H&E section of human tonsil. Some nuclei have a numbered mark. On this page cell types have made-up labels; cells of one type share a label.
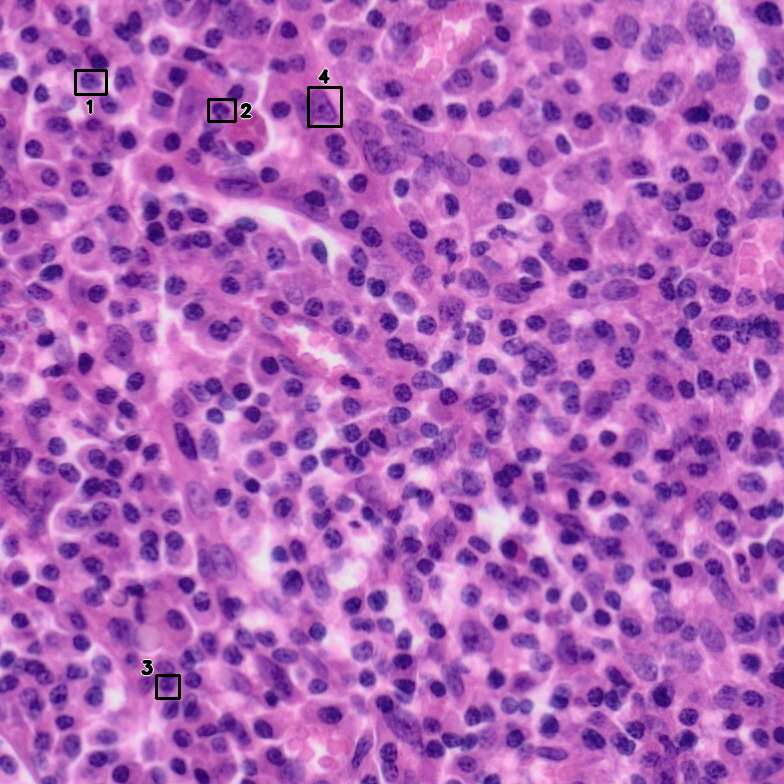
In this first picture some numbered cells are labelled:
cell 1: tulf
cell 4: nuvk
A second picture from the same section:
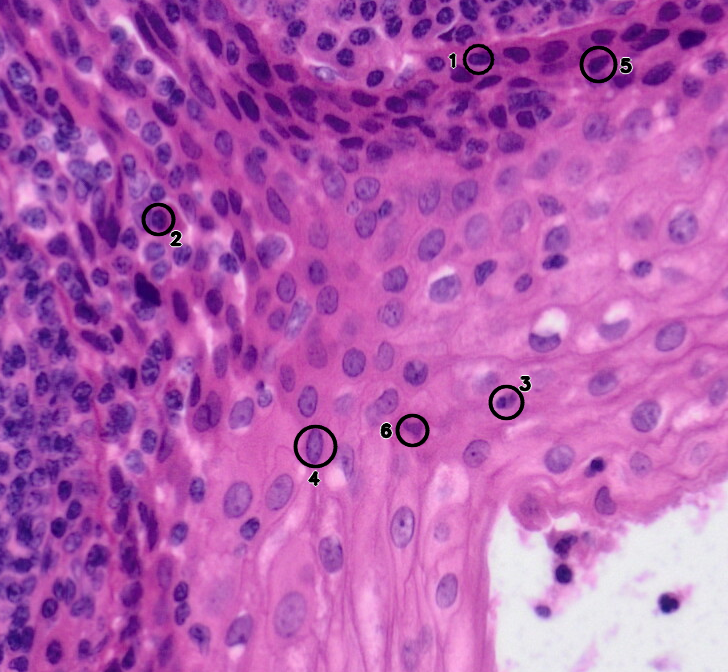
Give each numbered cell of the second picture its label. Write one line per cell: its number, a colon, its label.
1: tulf
2: tulf
3: nuvk
4: nuvk
5: nuvk
6: nuvk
